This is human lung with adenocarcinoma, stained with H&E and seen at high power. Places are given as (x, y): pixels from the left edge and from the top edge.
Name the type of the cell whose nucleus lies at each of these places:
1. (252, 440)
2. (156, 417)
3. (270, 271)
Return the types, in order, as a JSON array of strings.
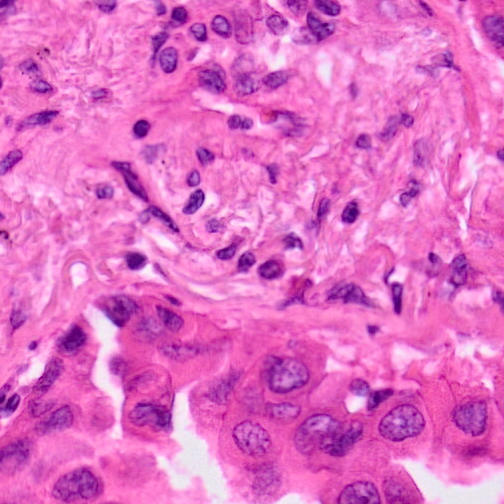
["carcinoma cell", "carcinoma cell", "plasma cell"]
